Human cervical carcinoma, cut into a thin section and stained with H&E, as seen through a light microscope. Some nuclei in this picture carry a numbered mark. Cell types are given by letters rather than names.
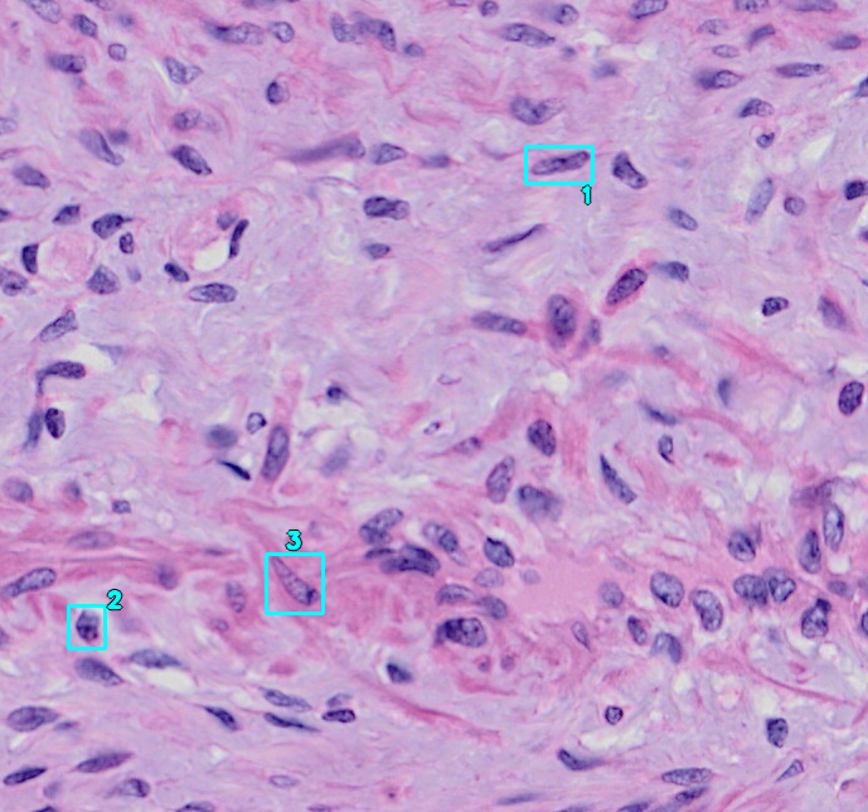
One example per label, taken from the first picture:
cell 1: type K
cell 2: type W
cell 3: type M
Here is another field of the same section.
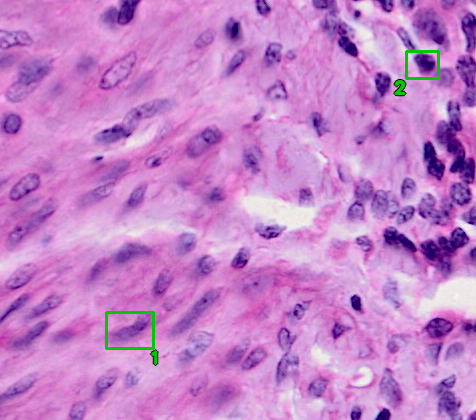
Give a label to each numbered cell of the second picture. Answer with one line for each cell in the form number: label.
1: type M
2: type W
